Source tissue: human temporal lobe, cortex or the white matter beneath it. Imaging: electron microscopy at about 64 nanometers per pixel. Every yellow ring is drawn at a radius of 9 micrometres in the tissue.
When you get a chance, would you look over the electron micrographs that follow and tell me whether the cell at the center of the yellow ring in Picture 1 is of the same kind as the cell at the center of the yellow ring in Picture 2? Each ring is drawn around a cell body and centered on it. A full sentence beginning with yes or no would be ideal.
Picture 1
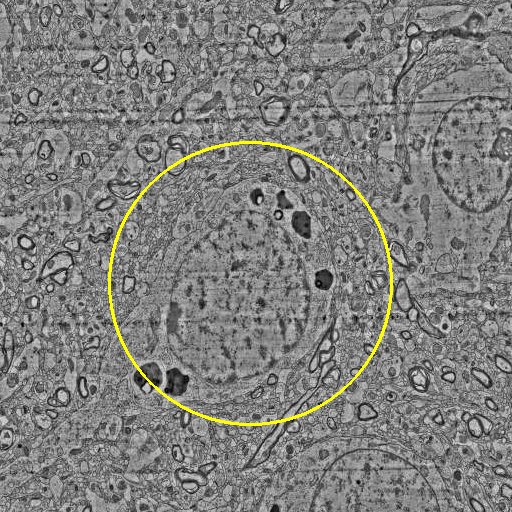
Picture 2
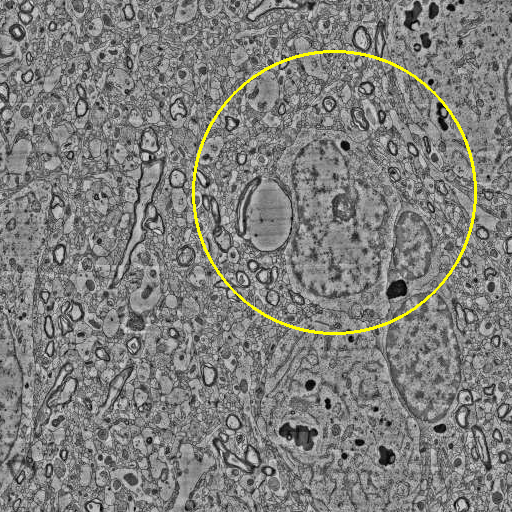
Yes, the two cells are of the same kind.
